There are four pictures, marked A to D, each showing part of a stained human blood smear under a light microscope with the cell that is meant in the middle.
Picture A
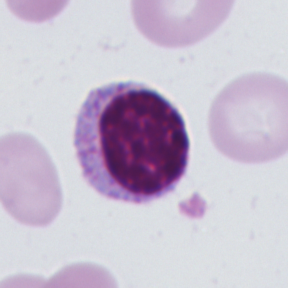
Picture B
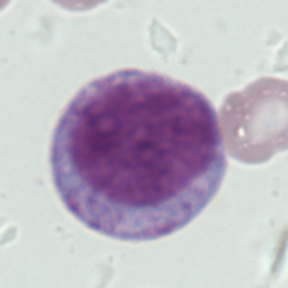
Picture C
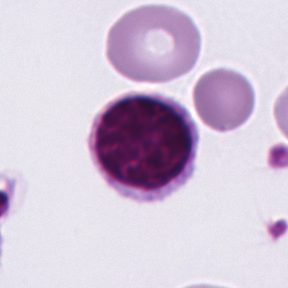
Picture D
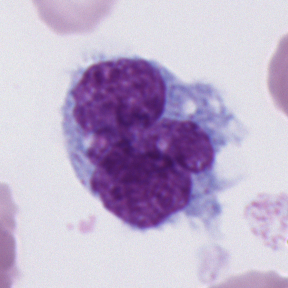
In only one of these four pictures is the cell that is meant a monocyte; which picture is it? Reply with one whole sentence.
It is picture D that shows the monocyte.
